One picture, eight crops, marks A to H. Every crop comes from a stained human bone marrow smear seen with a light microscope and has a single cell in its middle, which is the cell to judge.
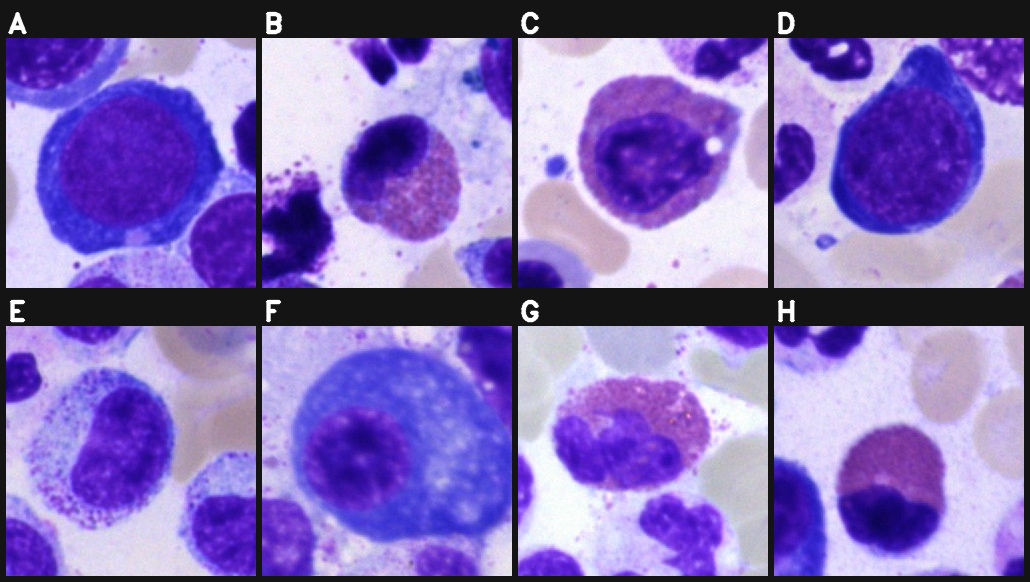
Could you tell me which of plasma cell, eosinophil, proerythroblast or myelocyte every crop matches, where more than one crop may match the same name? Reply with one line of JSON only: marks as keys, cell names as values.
{"A": "proerythroblast", "B": "eosinophil", "C": "eosinophil", "D": "proerythroblast", "E": "myelocyte", "F": "plasma cell", "G": "eosinophil", "H": "eosinophil"}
